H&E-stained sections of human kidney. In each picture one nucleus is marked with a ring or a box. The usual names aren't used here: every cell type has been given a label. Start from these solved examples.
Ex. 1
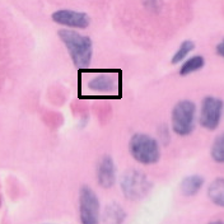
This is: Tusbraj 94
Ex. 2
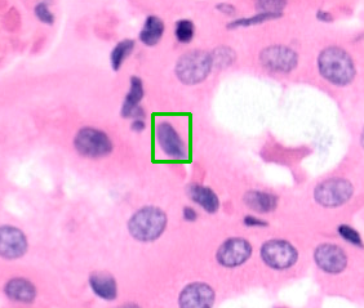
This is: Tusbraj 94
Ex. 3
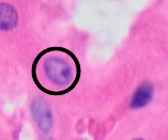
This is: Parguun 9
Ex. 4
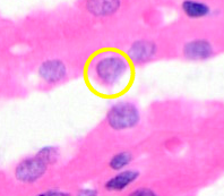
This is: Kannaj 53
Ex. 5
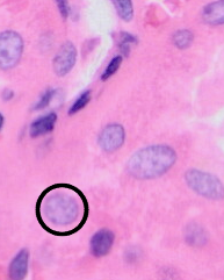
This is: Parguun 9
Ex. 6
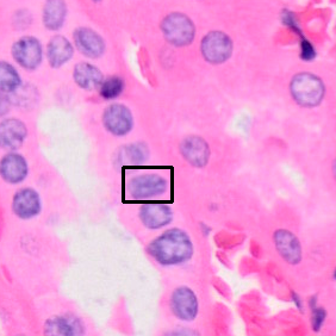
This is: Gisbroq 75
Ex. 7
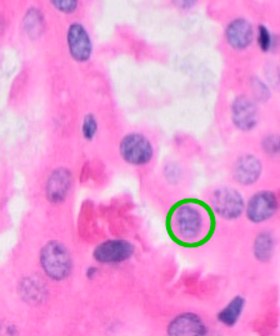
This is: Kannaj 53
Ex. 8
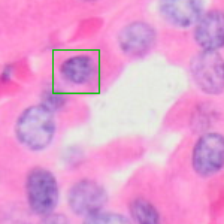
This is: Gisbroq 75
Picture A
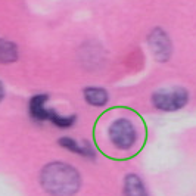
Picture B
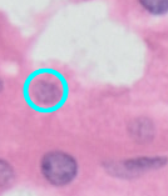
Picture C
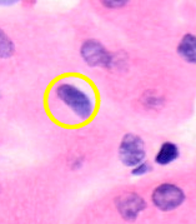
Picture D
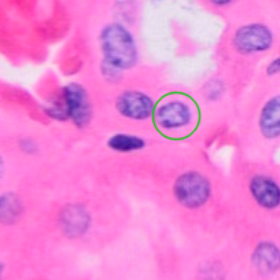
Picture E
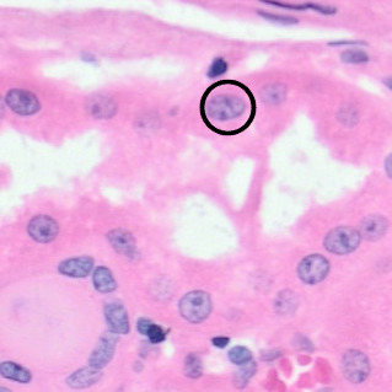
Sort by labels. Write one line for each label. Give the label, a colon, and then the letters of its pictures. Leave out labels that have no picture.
Tusbraj 94: C
Parguun 9: B, E
Kannaj 53: A
Gisbroq 75: D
